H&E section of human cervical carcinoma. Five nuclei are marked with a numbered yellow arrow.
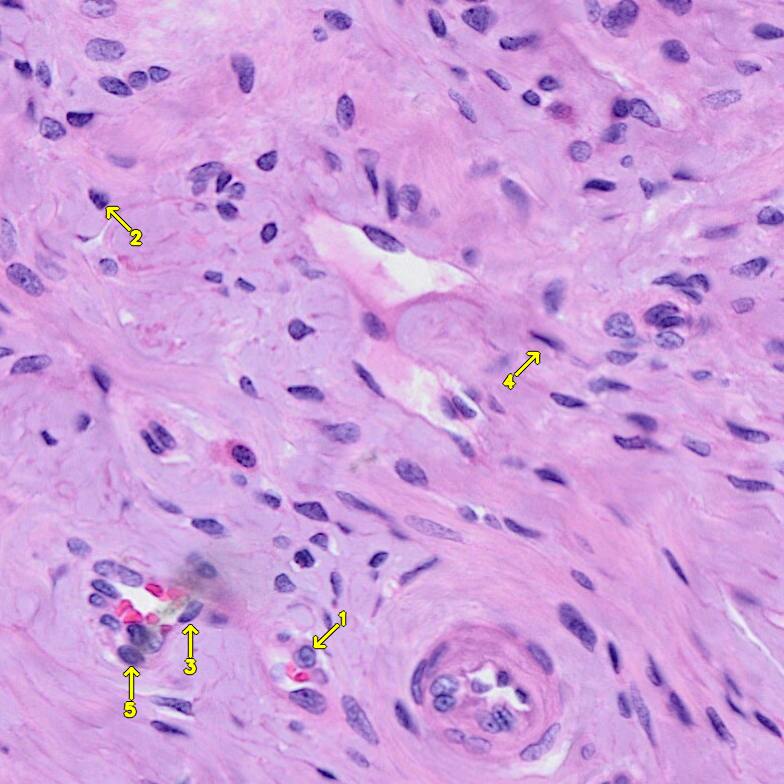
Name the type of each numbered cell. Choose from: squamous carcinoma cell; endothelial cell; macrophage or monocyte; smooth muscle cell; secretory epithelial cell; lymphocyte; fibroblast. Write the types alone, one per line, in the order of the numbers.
endothelial cell
fibroblast
endothelial cell
fibroblast
endothelial cell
